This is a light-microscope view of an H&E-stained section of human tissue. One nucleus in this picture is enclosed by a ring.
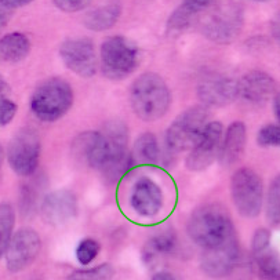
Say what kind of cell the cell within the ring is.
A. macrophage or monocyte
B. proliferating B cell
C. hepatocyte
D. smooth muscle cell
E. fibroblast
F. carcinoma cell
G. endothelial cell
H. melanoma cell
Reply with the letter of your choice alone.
A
